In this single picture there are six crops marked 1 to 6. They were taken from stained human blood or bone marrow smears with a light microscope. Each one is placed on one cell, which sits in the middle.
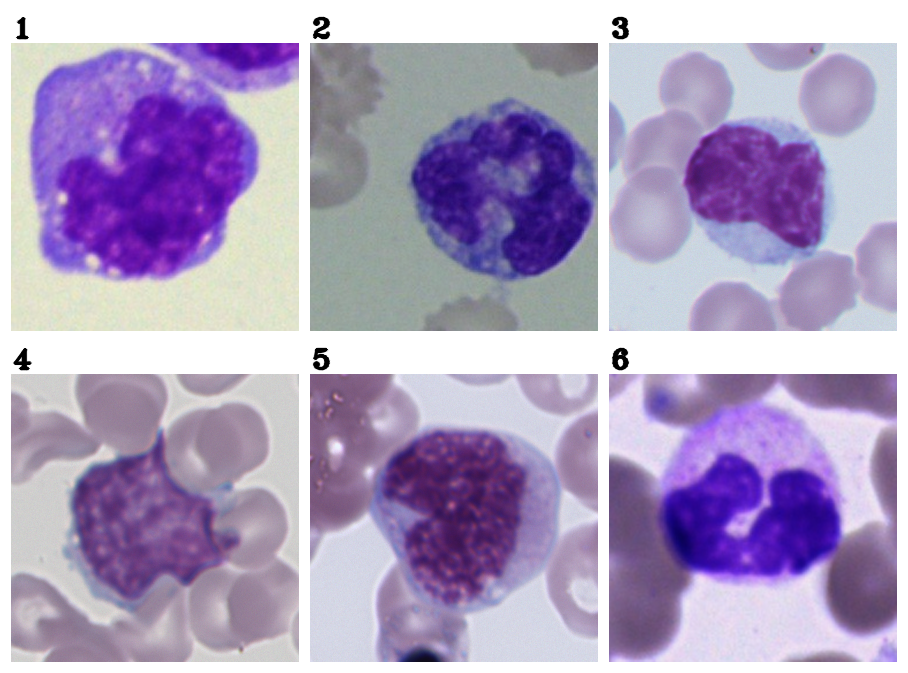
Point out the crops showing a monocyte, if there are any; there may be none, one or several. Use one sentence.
The central cells in crops 1, 2, 3 and 5 are recognised as monocytes.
